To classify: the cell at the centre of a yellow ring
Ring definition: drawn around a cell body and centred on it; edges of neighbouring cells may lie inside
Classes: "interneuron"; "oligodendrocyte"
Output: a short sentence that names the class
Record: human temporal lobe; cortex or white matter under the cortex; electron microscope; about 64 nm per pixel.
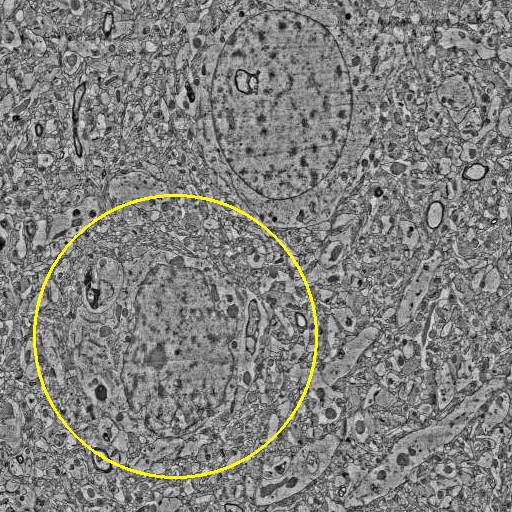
The ringed cell is an interneuron.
